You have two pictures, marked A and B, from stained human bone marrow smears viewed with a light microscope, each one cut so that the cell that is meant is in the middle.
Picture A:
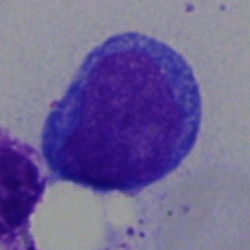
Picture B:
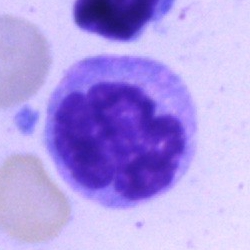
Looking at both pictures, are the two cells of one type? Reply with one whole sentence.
No, picture A shows a blast and picture B shows a monocyte.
